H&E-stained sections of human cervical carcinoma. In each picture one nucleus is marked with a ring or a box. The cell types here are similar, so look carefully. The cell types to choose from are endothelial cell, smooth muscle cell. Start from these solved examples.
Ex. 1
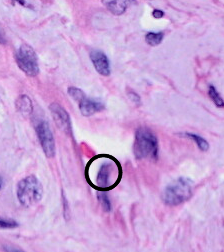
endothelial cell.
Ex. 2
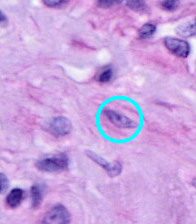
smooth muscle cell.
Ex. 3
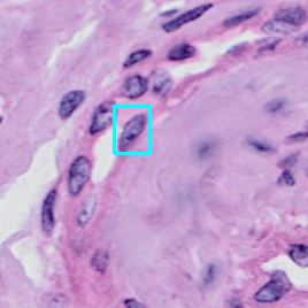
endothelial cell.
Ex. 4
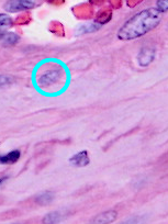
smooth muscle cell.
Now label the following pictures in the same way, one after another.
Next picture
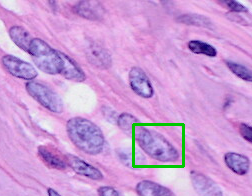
endothelial cell.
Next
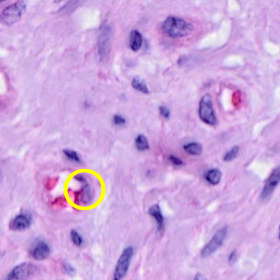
endothelial cell.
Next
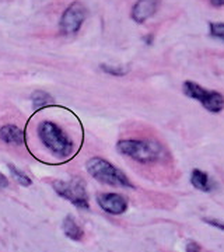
endothelial cell.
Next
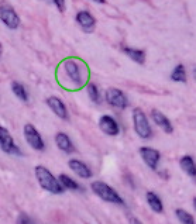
smooth muscle cell.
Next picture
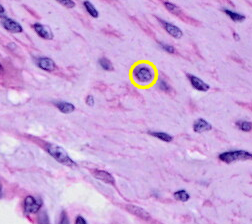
smooth muscle cell.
